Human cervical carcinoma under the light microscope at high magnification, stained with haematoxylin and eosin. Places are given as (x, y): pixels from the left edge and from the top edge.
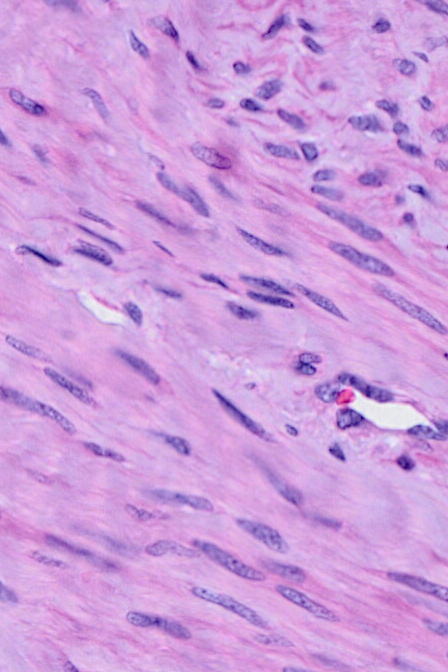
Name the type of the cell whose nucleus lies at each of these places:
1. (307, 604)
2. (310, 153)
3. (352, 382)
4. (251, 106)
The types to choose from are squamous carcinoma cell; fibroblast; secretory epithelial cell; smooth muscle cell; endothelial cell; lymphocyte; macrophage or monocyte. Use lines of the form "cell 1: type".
cell 1: smooth muscle cell
cell 2: smooth muscle cell
cell 3: endothelial cell
cell 4: smooth muscle cell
